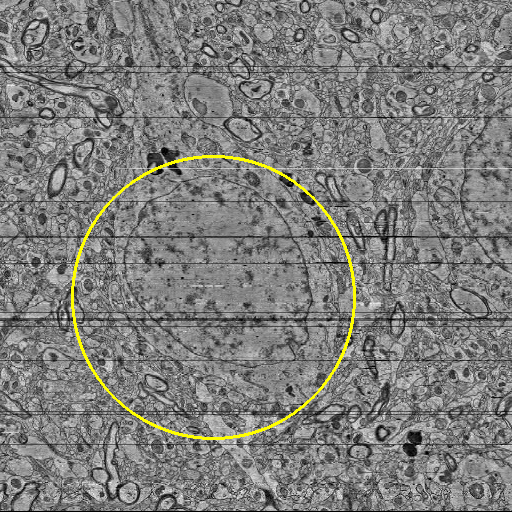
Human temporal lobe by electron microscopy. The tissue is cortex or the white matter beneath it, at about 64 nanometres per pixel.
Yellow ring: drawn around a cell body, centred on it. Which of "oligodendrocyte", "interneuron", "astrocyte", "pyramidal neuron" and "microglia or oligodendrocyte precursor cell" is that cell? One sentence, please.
That cell body is from a pyramidal neuron.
